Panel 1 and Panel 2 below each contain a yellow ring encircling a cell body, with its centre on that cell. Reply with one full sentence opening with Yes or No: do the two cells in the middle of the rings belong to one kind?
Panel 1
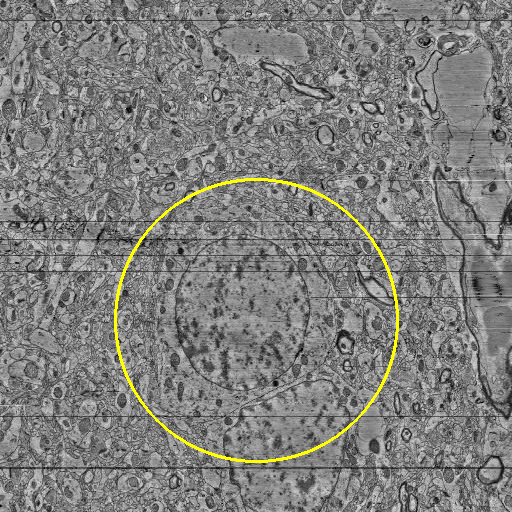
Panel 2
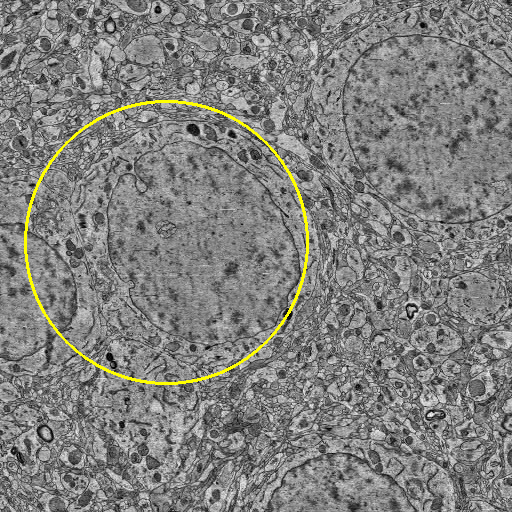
Yes, the cells at the middle of the Panel 1 ring and the Panel 2 ring are of one kind.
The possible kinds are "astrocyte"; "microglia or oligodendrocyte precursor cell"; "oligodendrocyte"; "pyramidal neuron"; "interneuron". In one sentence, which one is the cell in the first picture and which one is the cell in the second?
Each of the two cells is a pyramidal neuron.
